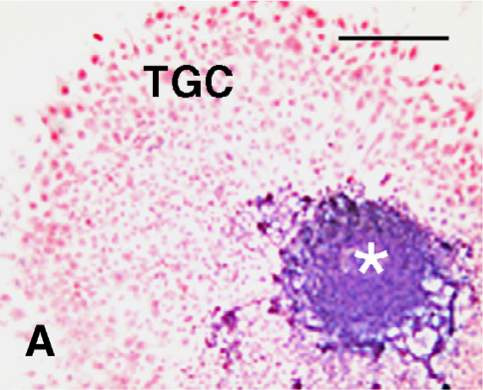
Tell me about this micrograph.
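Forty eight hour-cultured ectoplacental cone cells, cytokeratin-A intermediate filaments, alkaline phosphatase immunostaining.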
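The central mass stains deep purple and is densely packed, with an irregular lacy edge. Around it, pink-red stained cells spread out in a broad zone, becoming larger and more widely spaced toward the periphery.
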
